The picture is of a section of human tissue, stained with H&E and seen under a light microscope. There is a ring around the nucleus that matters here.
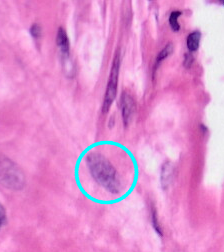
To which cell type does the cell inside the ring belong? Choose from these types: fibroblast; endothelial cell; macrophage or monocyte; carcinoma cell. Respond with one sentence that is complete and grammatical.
It is as a fibroblast that the cell inside the ring is classified.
